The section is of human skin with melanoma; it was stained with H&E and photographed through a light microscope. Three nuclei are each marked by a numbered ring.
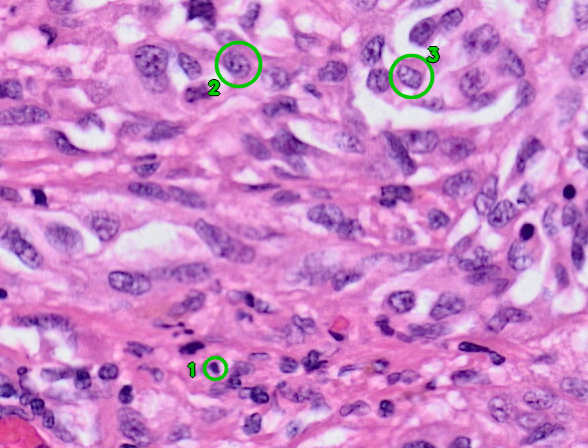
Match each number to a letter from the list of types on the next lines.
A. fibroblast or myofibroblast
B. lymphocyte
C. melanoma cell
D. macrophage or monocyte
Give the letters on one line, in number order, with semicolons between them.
B; C; C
